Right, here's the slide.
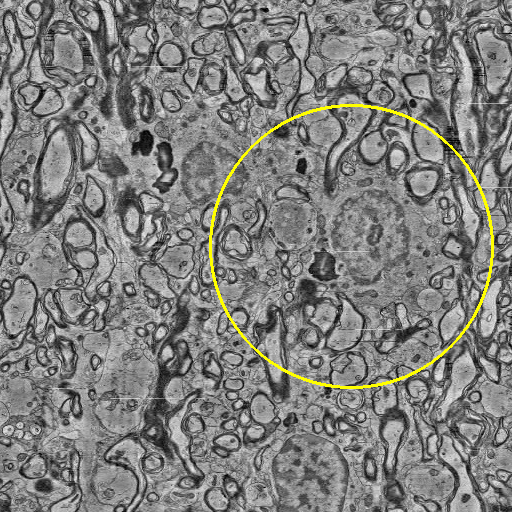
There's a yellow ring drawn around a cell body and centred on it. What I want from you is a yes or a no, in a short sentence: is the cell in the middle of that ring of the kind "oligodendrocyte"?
Yes, it's of that kind.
